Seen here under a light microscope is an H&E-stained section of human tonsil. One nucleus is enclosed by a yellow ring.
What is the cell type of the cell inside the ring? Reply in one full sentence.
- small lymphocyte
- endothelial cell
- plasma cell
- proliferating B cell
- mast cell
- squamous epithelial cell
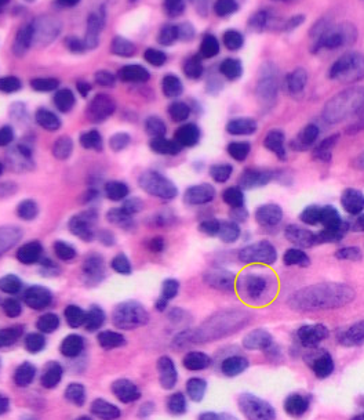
The identity of the cell inside the ring is that of an endothelial cell.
